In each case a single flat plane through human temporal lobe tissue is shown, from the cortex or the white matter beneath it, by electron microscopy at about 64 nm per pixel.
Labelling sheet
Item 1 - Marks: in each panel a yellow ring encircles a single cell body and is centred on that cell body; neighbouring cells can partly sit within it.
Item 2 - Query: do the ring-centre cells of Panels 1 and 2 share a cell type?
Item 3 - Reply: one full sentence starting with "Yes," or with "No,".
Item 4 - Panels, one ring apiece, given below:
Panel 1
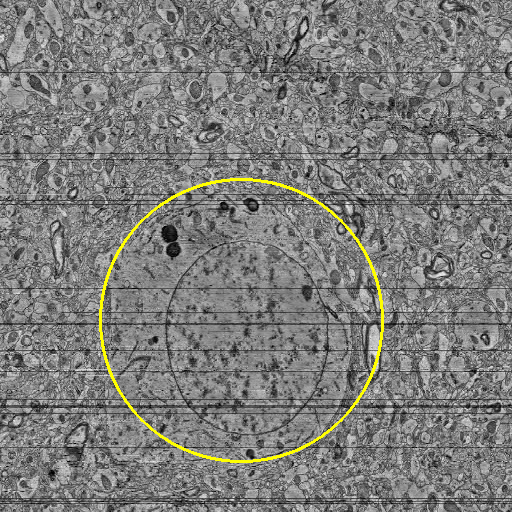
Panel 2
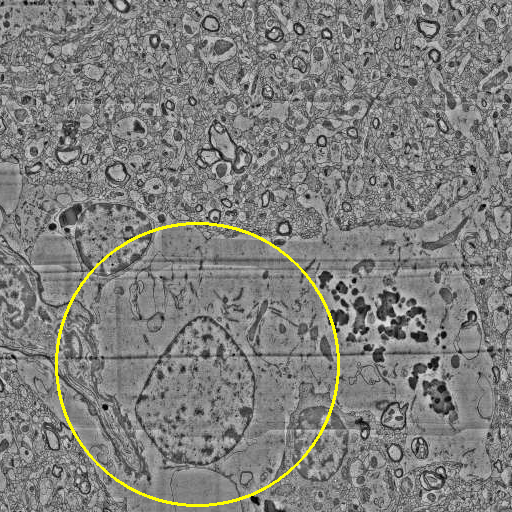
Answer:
No, Panel 1 and Panel 2 show two cell types at the centres of their rings.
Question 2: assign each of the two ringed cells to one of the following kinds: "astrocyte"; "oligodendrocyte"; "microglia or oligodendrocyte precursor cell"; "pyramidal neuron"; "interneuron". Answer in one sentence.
The two cells are a pyramidal neuron in the first picture and an astrocyte in the second.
